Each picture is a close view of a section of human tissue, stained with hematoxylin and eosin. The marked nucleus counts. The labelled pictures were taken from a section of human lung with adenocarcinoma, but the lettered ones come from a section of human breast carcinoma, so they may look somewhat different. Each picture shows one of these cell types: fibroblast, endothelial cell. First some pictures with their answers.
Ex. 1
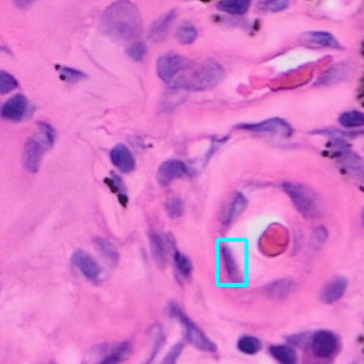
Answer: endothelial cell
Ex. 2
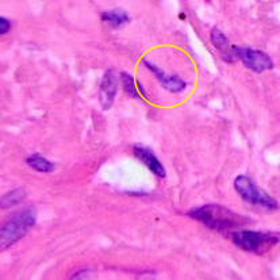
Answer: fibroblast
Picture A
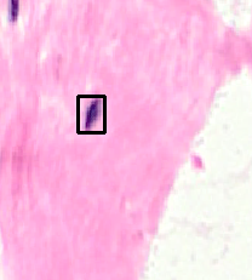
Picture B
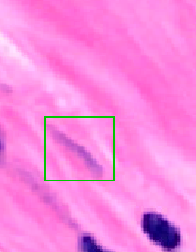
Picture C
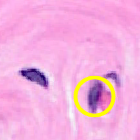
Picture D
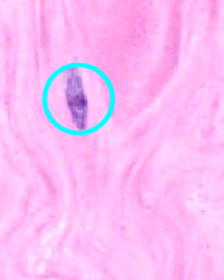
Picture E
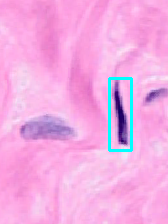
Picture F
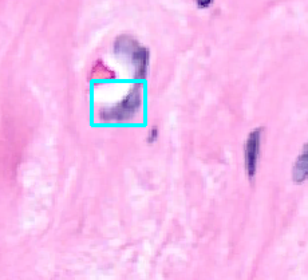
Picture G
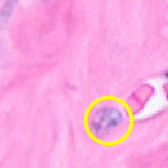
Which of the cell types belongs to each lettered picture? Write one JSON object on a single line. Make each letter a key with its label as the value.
{"A": "fibroblast", "B": "fibroblast", "C": "endothelial cell", "D": "fibroblast", "E": "fibroblast", "F": "endothelial cell", "G": "endothelial cell"}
